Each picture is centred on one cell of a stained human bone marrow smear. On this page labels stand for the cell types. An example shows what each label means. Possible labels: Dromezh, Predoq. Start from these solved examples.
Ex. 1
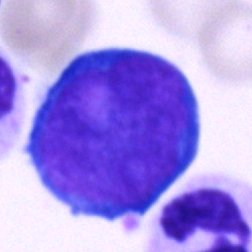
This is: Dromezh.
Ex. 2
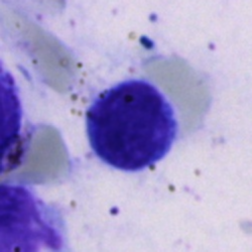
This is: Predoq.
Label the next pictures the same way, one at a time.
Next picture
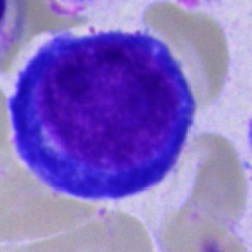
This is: Dromezh.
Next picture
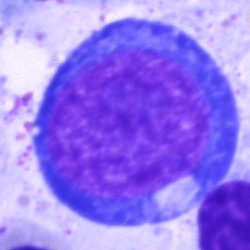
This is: Dromezh.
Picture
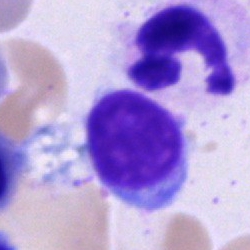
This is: Predoq.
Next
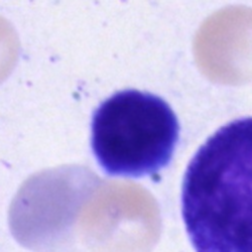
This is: Predoq.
